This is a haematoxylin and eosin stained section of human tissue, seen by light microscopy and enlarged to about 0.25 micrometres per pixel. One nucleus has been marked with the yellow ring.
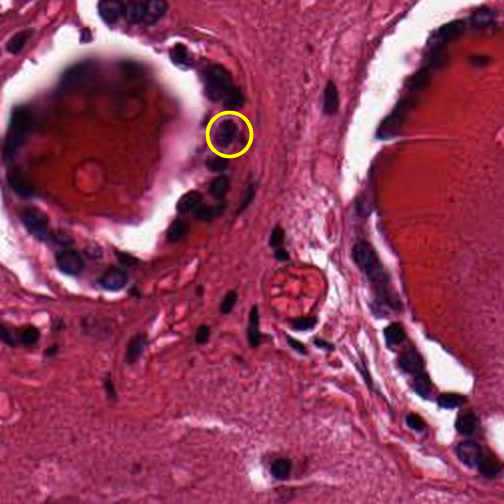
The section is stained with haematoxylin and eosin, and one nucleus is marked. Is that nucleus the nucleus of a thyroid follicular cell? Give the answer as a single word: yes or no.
yes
